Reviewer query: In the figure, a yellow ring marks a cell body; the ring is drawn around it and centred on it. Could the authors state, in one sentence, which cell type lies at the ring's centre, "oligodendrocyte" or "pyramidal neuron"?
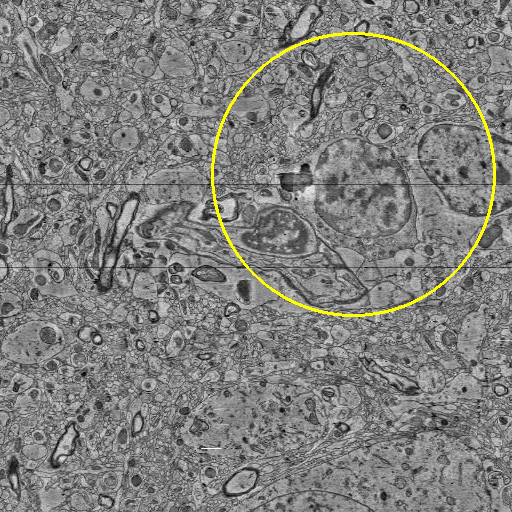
The ring is centred on an oligodendrocyte.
